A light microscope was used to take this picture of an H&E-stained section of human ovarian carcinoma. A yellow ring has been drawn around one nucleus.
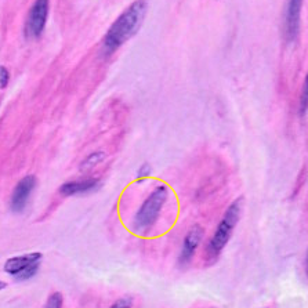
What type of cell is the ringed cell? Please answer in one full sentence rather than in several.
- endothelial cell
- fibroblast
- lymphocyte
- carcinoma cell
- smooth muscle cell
Assigned to a cell type, the ringed cell is a smooth muscle cell.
